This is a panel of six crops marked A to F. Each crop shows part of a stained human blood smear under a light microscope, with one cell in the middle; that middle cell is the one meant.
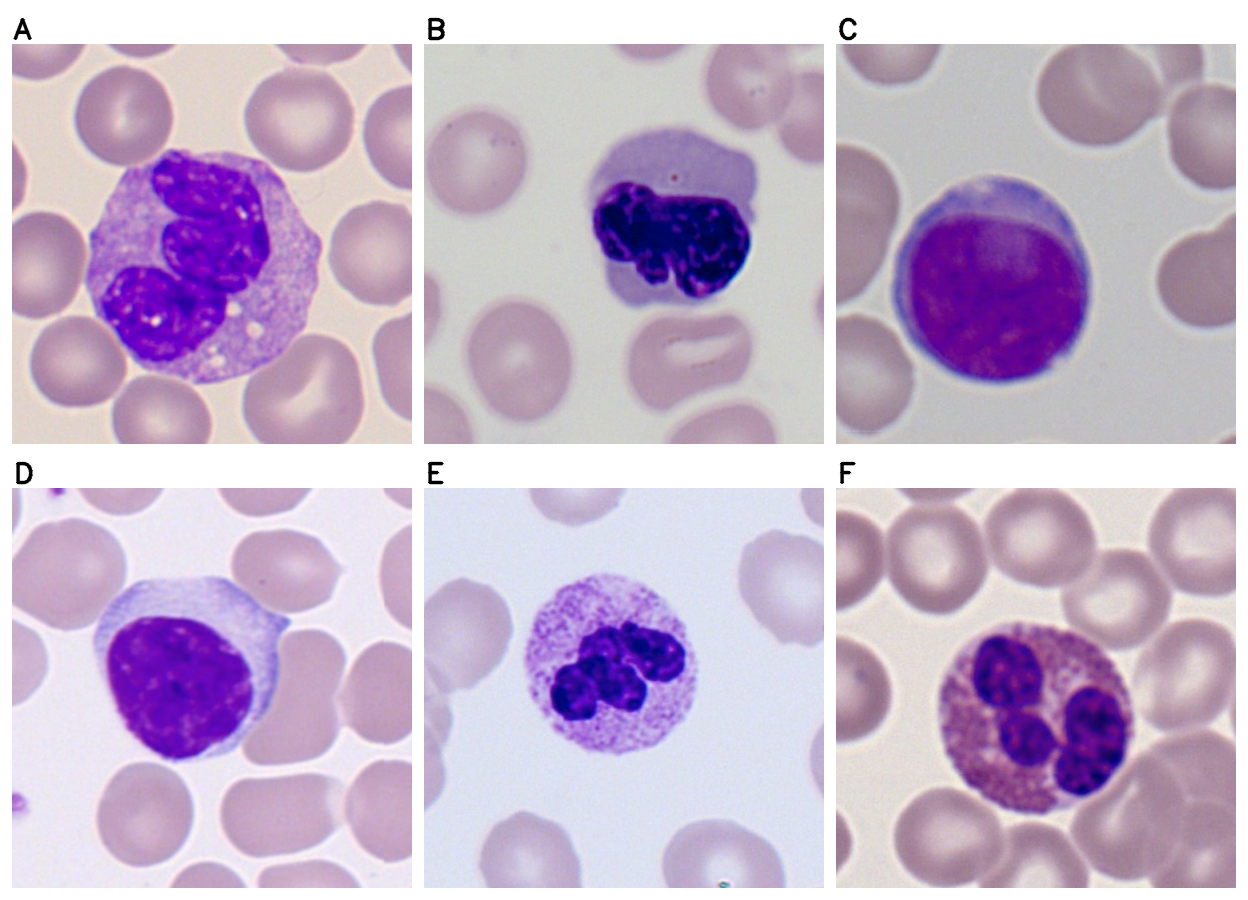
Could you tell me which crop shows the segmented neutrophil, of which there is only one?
E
